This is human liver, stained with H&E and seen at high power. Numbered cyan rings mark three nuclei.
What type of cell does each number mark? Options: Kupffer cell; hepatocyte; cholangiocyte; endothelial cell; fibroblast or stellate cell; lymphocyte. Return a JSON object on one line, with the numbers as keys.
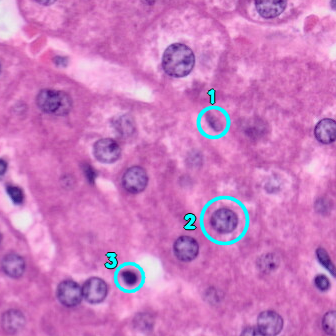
{"1": "endothelial cell", "2": "hepatocyte", "3": "lymphocyte"}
